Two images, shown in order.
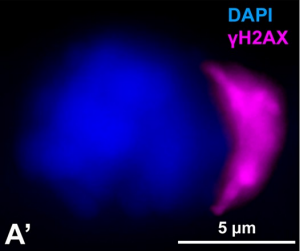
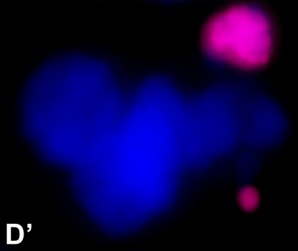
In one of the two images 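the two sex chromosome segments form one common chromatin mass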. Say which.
The first image.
